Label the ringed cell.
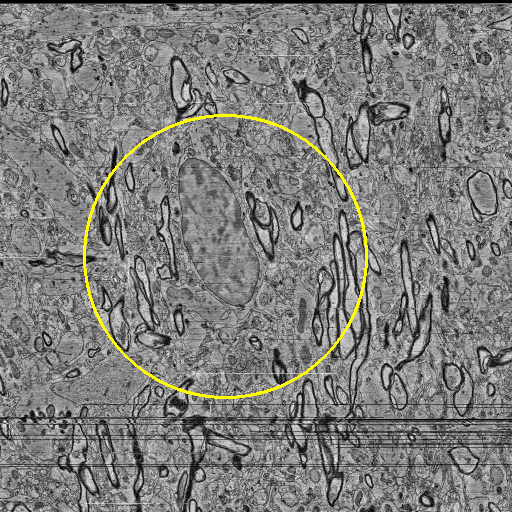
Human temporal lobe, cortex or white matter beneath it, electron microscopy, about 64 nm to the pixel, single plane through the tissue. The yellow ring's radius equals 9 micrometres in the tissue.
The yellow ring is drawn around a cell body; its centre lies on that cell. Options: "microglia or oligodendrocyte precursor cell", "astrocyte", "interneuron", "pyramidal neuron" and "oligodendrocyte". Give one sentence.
The ringed cell is a microglial cell or oligodendrocyte precursor cell.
